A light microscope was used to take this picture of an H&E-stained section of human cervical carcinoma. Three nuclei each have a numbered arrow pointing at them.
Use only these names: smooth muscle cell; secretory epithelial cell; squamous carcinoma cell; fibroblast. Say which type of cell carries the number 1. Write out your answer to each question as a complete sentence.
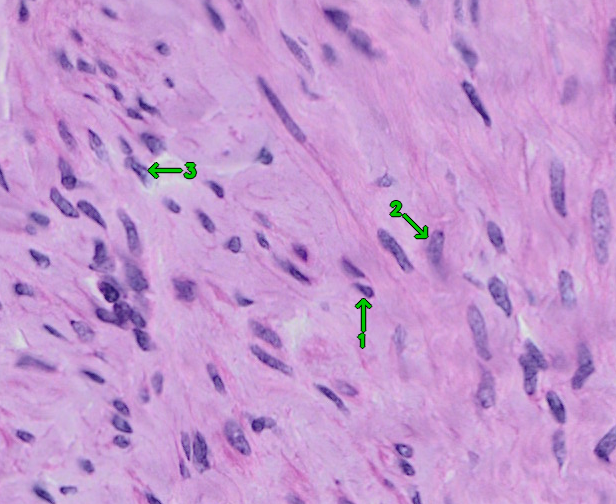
At number 1, the marked cell is a fibroblast.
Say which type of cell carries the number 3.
The cell referenced by the number 3 is a fibroblast in this field.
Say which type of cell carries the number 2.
Heads up, the cell numbered 2 is a smooth muscle cell.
